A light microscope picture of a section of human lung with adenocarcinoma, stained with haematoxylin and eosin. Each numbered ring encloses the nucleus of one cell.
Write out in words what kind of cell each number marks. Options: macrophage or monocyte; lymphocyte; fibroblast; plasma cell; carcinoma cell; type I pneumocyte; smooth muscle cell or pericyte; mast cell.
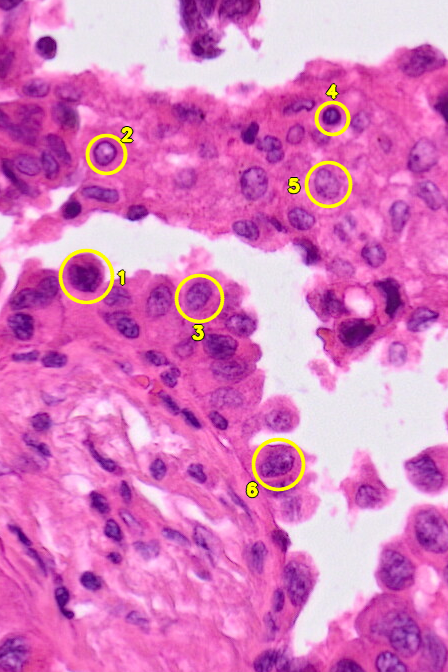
Cell 1 is a carcinoma cell, cell 2 is a macrophage or monocyte, cell 3 is a carcinoma cell, cell 4 is a lymphocyte, cell 5 is a macrophage or monocyte and cell 6 is a carcinoma cell.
